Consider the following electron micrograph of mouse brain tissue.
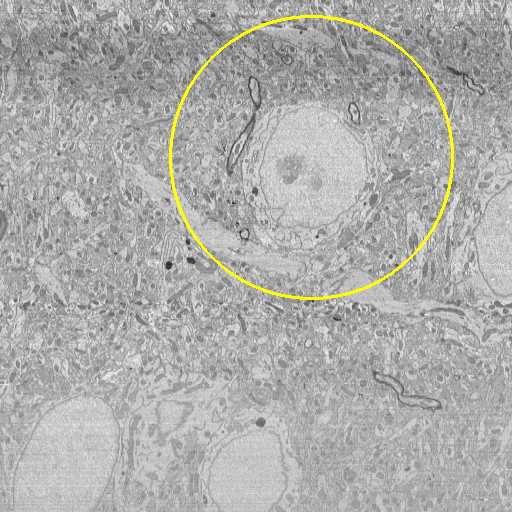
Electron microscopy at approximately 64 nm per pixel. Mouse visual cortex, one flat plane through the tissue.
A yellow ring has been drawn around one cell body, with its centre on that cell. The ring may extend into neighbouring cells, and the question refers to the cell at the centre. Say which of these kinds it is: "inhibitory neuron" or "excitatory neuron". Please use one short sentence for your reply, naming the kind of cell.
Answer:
The centre of the ring falls on an inhibitory neuron.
